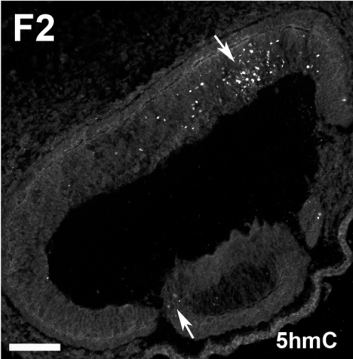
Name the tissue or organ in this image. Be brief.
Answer: Retina.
